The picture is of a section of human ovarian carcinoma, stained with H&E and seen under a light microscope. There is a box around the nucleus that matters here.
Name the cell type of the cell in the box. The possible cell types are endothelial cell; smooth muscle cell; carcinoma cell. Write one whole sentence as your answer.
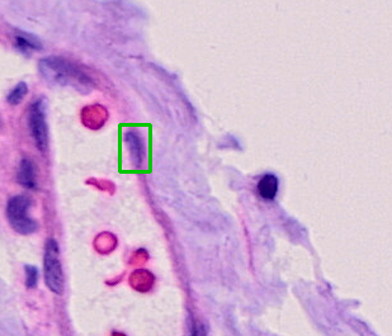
Within the stained tissue, the cell in the box is an endothelial cell.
